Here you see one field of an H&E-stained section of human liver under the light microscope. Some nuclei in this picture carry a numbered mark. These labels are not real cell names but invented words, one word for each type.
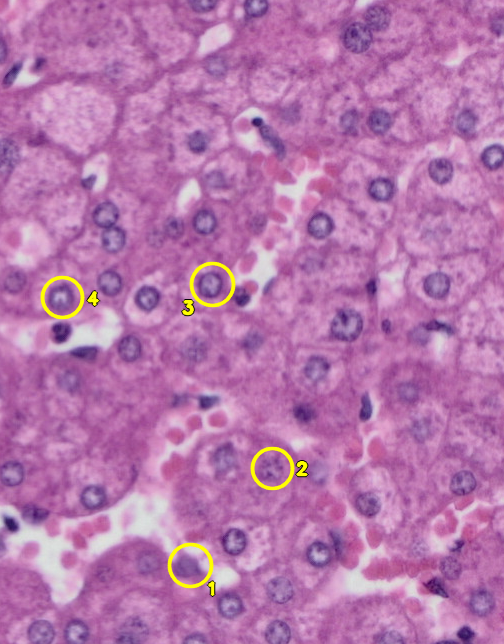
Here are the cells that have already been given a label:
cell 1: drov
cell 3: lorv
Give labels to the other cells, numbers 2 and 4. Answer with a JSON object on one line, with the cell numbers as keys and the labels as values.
{"2": "lorv", "4": "lorv"}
